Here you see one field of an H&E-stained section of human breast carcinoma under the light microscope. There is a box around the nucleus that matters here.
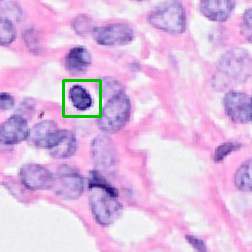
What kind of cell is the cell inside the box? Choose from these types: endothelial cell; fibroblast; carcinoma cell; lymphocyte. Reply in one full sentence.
In the stained section, the cell inside the box is a lymphocyte.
